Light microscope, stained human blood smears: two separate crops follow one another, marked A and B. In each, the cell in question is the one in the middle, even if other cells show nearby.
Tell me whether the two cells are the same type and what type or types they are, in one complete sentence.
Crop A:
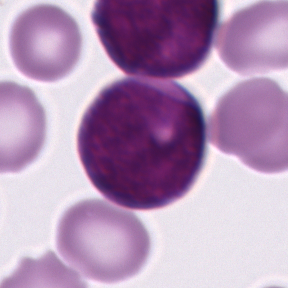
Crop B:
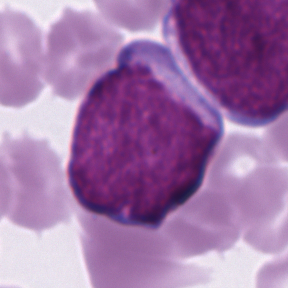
Yes, these two crops both show myeloblasts.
